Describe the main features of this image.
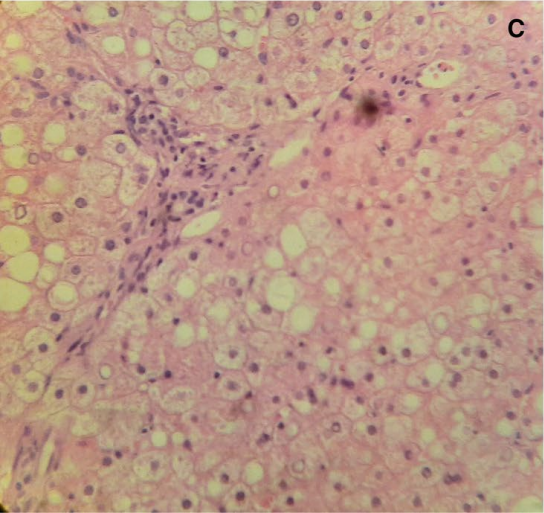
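Liver tissue with enlarged hepatocytes around a portal area. The hepatocytes are large and polygonal with crisp cell borders, pale, finely vacuolated pink cytoplasm and round, centrally placed nuclei. Many contain round clear vacuoles of varying size, some large, in keeping with mild steatosis. On the left a band of pink fibrous tissue crowded with small dark elongated and round nuclei runs across the field, with a few small vessel lumens in it: a portal space with fibrosis. The swollen pale cells beside darker pinker ones give a patchy, mosaic look.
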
